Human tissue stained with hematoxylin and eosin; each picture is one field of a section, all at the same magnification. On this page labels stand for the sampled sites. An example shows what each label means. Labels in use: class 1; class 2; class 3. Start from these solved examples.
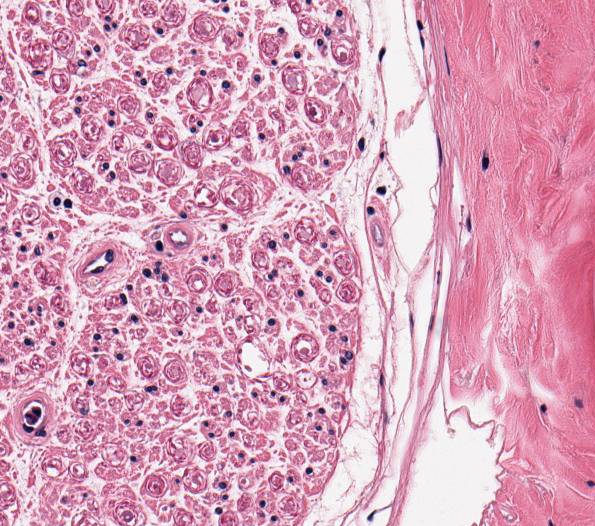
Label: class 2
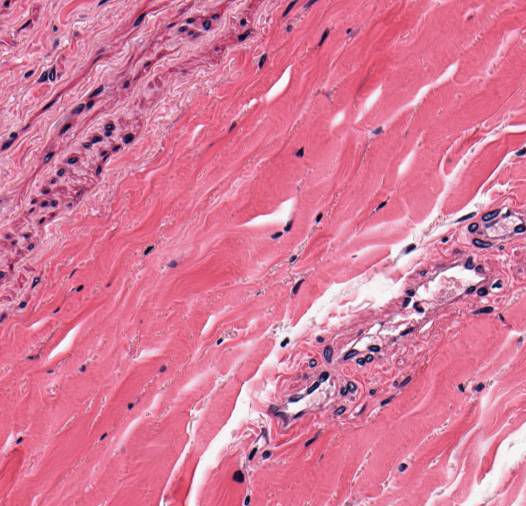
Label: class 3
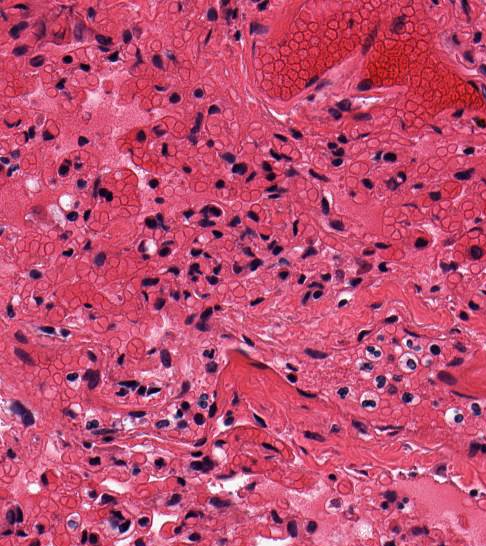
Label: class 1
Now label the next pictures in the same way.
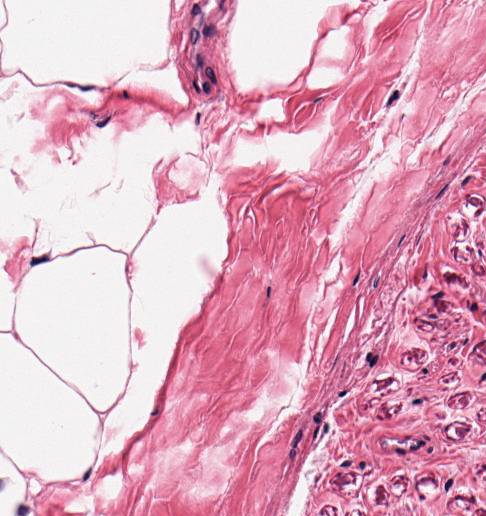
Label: class 2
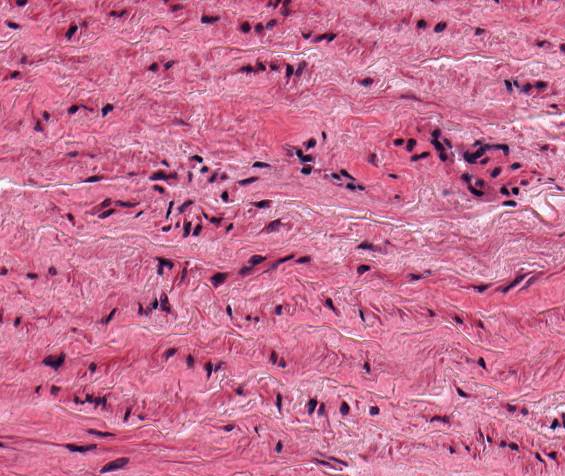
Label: class 3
